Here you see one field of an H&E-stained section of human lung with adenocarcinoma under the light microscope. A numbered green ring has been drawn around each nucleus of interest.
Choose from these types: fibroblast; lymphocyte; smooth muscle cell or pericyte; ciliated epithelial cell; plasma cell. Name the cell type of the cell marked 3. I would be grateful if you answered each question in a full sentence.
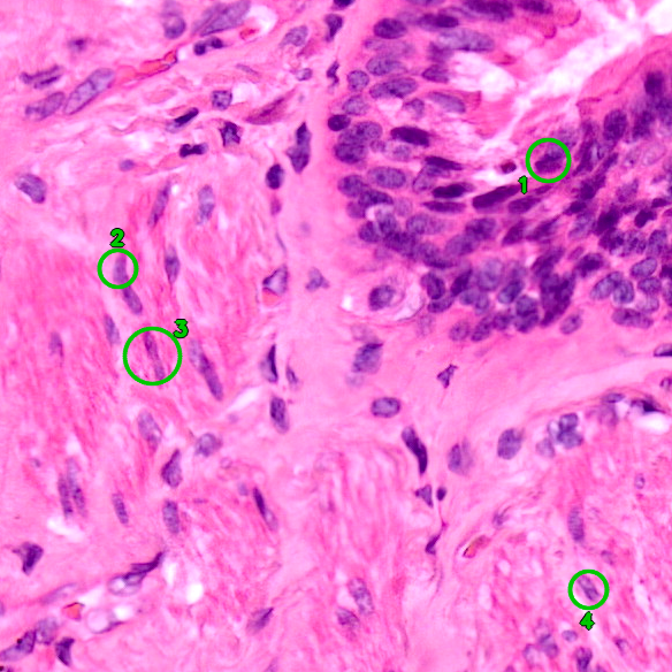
Classified as a smooth muscle cell or pericyte is the cell with the number 3.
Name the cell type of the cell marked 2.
What the number 2 marks in this field is a smooth muscle cell or pericyte.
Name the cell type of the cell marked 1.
The cell that carries the label 1 is a ciliated epithelial cell.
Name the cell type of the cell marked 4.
Of the numbered cells, the one labelled 4 is a smooth muscle cell or pericyte.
